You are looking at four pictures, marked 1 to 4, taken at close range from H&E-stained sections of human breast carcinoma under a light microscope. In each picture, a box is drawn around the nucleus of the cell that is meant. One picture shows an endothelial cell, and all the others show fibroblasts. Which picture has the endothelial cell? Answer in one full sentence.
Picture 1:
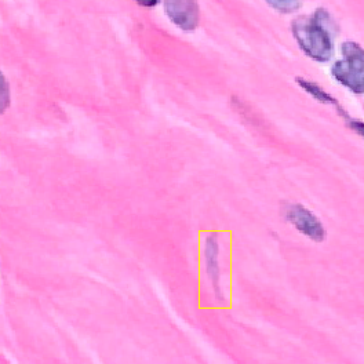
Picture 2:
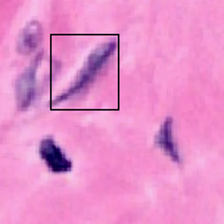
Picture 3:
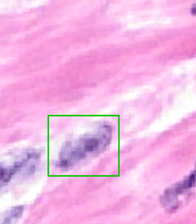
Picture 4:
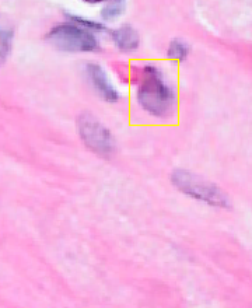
The cell in picture 4 is the endothelial cell.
